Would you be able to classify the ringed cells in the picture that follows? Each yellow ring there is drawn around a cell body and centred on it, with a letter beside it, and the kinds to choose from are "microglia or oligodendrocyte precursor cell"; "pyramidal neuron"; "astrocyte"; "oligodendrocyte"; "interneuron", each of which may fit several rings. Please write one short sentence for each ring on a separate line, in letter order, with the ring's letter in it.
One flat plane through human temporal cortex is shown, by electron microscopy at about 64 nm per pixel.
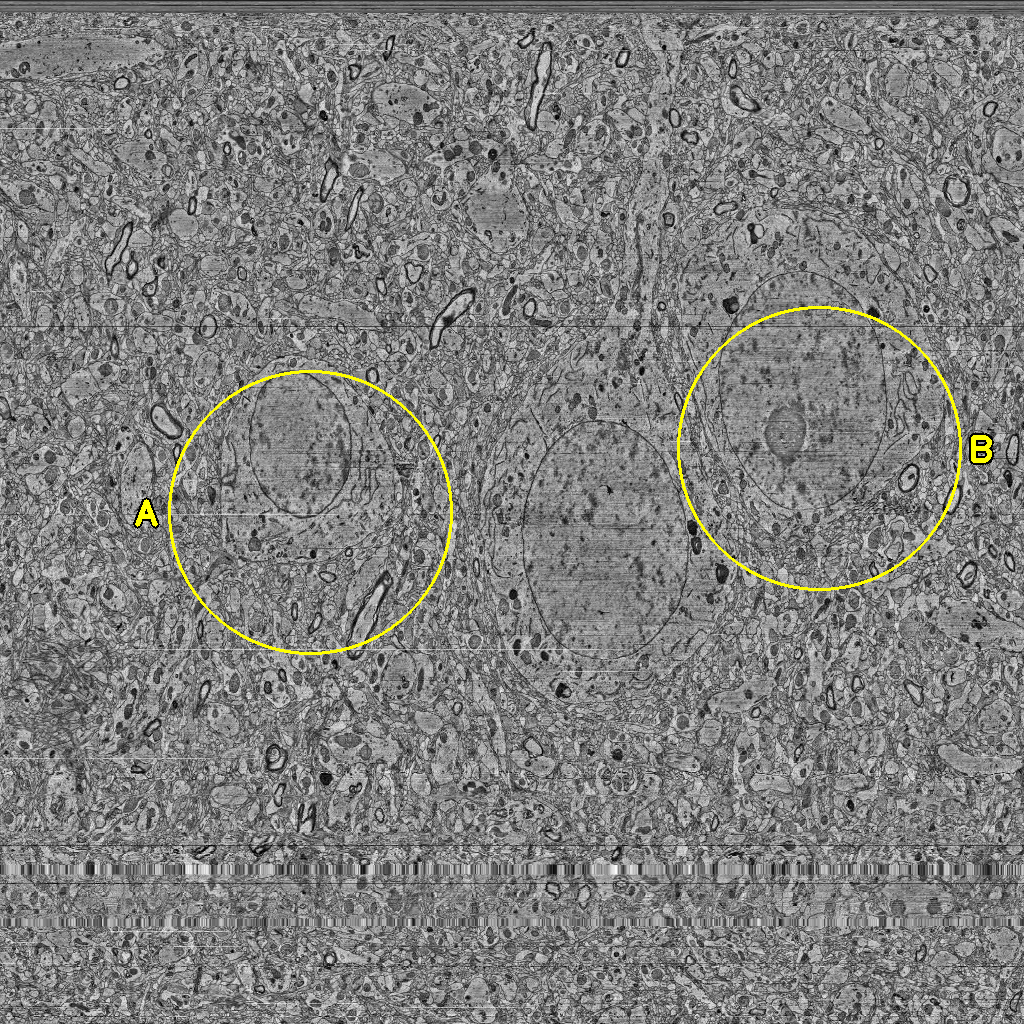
The cell body at the centre of ring A belongs to a pyramidal neuron.
The cell body at the centre of ring B belongs to a pyramidal neuron.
